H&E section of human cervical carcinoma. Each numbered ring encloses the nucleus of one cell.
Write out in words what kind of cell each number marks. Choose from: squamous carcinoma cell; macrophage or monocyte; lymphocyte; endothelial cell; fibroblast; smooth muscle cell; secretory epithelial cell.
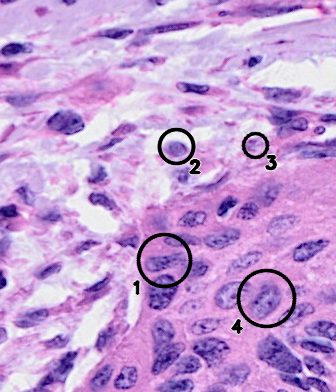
Cell 1 is a squamous carcinoma cell, cell 2 is a fibroblast, cell 3 is a fibroblast and cell 4 is a squamous carcinoma cell.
